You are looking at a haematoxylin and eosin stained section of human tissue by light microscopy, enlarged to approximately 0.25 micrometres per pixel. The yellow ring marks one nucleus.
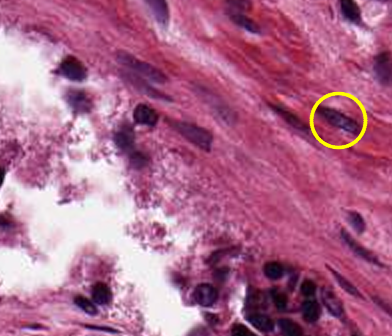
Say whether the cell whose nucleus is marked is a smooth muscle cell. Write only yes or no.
yes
